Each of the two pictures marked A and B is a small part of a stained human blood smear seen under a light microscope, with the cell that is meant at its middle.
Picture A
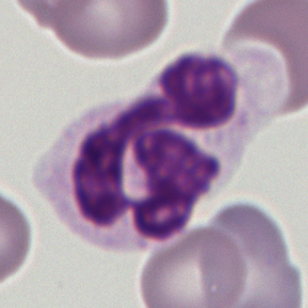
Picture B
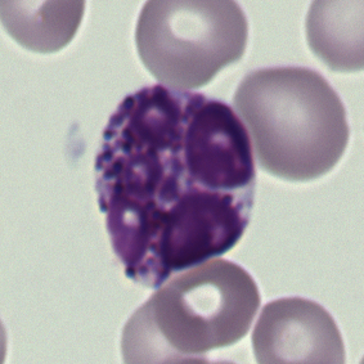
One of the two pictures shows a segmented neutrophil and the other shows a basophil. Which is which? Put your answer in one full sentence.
In picture A the cell is a segmented neutrophil; in picture B, a basophil.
